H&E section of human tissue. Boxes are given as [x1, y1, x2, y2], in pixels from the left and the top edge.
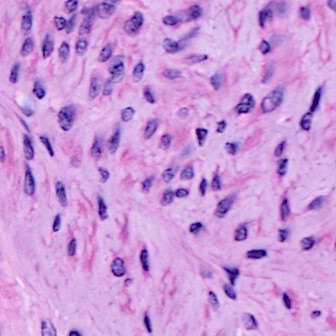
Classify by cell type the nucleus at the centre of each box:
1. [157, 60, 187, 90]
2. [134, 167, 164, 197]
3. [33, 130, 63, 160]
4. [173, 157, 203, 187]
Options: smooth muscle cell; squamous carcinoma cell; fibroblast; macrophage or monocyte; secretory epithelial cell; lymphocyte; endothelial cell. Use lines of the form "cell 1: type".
cell 1: smooth muscle cell
cell 2: smooth muscle cell
cell 3: fibroblast
cell 4: smooth muscle cell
